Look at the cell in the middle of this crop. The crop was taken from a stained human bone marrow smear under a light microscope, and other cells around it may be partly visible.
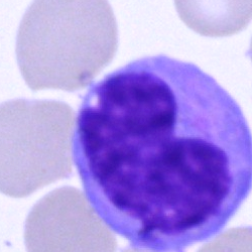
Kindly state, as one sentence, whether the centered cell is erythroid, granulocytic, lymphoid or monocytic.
The middle cell of the crop arises from the monocytic lineage.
